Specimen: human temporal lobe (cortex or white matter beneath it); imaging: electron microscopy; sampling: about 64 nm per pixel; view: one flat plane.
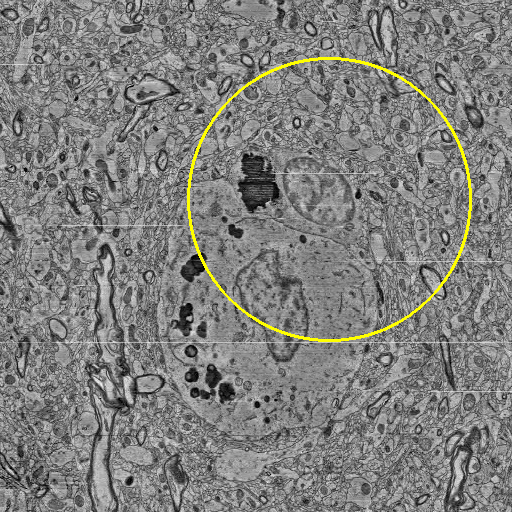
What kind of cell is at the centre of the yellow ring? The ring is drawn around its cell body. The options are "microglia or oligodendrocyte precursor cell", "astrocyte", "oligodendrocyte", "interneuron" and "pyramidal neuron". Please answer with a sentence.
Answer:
The yellow ring marks the cell body of an oligodendrocyte.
